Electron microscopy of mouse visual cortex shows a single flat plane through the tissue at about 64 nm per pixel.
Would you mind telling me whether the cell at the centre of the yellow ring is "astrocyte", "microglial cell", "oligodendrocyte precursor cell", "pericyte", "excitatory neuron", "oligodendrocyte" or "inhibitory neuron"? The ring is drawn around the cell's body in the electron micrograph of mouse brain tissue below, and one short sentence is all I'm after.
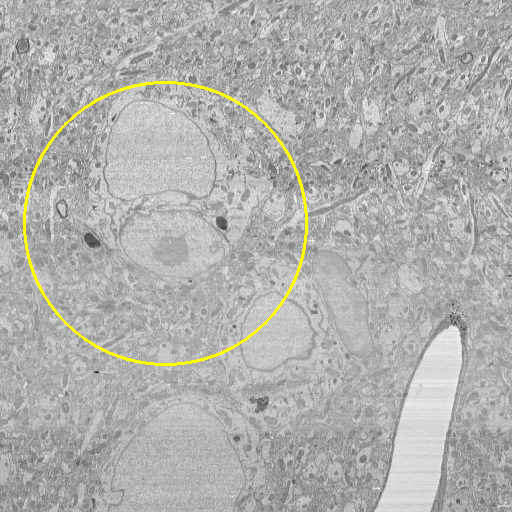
In the centre of the ring lies an oligodendrocyte precursor cell.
